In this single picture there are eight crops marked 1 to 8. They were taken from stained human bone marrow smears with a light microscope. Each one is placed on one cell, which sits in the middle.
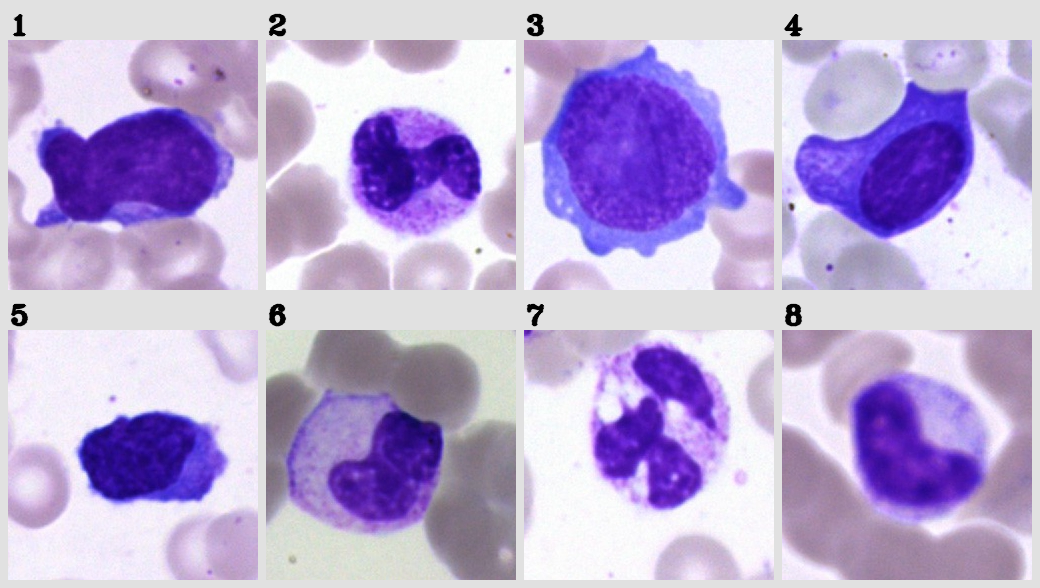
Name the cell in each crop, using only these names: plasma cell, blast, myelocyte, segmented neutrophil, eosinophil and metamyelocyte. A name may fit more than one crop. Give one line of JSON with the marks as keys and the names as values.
{"1": "blast", "2": "segmented neutrophil", "3": "blast", "4": "plasma cell", "5": "plasma cell", "6": "metamyelocyte", "7": "segmented neutrophil", "8": "metamyelocyte"}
